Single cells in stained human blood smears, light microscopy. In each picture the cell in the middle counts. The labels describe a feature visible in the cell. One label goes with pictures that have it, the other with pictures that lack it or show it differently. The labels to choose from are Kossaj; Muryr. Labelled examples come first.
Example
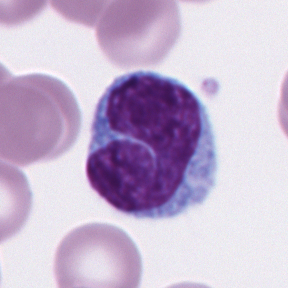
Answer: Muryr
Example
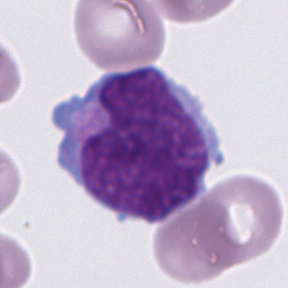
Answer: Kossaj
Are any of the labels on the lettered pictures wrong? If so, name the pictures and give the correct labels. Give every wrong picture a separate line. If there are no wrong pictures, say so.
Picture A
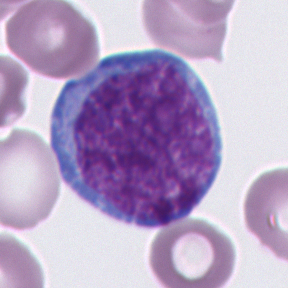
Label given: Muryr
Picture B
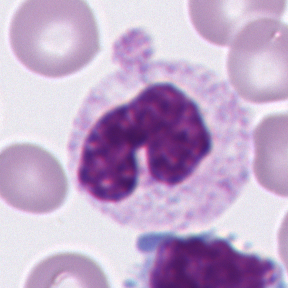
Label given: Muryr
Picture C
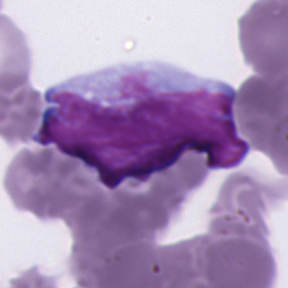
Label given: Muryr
C is labelled Muryr; correct label: Kossaj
